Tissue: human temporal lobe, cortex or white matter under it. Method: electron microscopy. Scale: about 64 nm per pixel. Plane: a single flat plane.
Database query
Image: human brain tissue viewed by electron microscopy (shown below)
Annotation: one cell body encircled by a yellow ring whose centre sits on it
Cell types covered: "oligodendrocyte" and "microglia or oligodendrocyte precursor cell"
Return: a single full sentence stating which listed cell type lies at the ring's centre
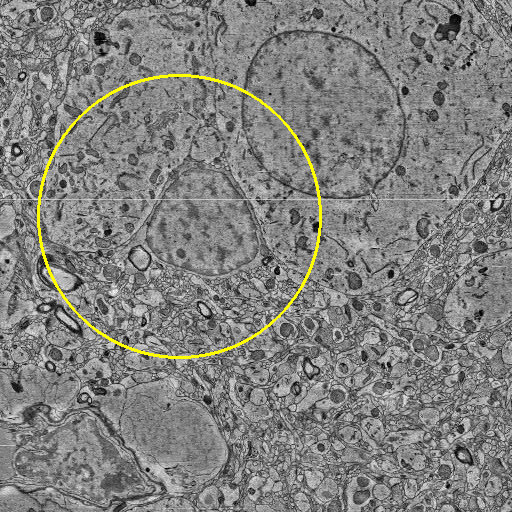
In the image, the cell lying at the ring's centre is an oligodendrocyte.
